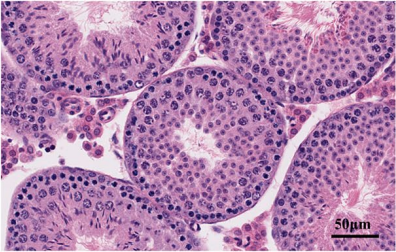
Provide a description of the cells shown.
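Cross-sectioned seminiferous tubules of the testis are shown, each lined by a thick, layered seminiferous epithelium around a central lumen. Round purple nuclei of germ cells fill the epithelium in concentric layers, with darker nuclei along the basal edge and pale pink cytoplasm between them. The lumens contain pale eosinophilic filamentous material, and narrow interstitial spaces with pink-staining cells lie between the tubules. The epithelium appears compact and continuous, with few clear gaps.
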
